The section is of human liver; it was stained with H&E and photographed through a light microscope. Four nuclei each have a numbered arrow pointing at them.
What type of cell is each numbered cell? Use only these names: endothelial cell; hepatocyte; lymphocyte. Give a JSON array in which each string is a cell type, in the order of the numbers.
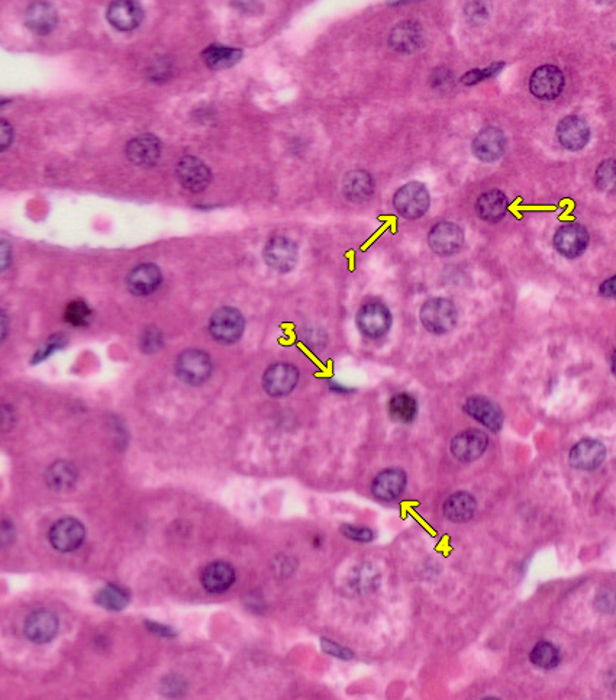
["hepatocyte", "hepatocyte", "endothelial cell", "hepatocyte"]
